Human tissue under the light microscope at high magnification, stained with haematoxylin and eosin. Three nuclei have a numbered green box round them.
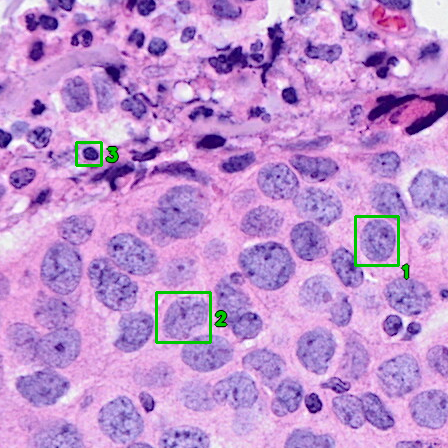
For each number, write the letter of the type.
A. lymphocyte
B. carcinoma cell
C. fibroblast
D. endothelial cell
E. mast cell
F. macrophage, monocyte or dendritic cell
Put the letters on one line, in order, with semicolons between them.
B; B; A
